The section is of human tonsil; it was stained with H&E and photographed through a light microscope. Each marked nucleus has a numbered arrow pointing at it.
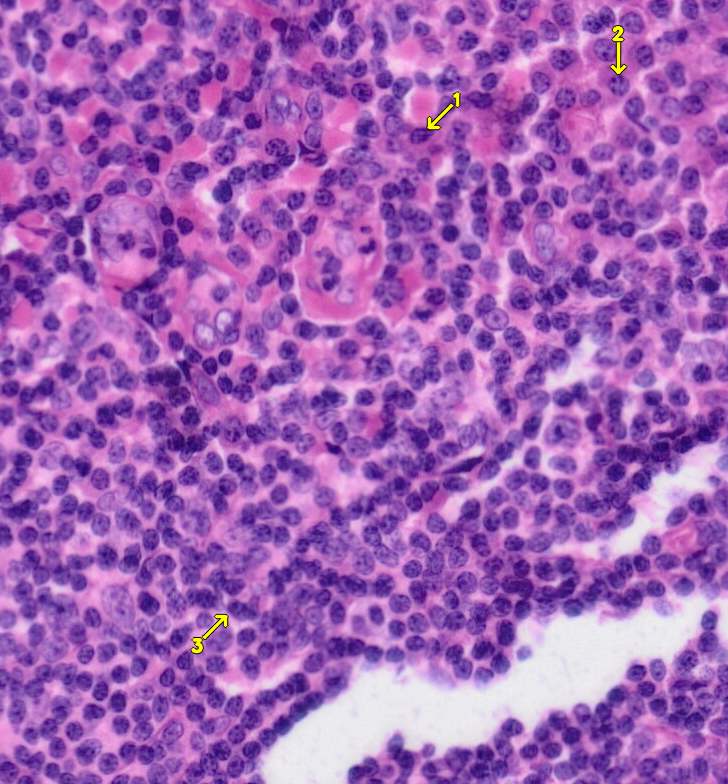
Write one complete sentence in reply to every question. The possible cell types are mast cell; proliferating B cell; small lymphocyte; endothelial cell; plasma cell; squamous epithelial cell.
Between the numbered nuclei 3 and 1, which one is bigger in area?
Nucleus 1 covers more area, about 1.5 times as much as nucleus 3.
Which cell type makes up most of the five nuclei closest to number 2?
Around number 2, most of the five nearest nuclei are those of plasma cells.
